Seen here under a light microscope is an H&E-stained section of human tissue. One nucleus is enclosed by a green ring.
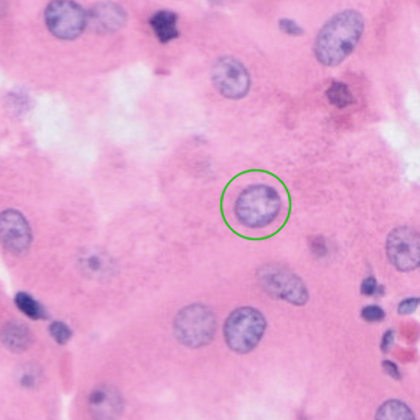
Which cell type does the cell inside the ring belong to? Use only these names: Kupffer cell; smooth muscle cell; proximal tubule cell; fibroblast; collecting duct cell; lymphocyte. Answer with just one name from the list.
proximal tubule cell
